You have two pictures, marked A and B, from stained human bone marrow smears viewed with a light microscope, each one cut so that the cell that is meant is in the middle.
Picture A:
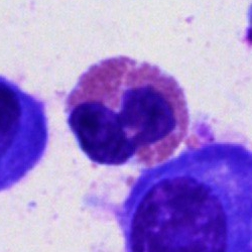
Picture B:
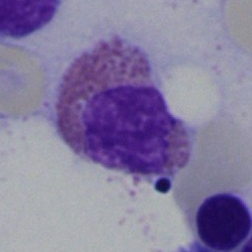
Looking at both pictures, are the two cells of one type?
yes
